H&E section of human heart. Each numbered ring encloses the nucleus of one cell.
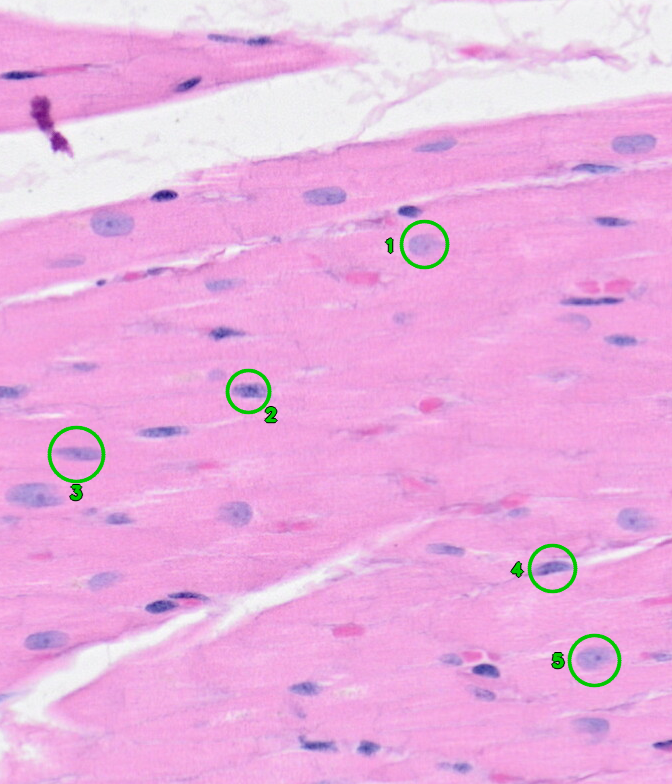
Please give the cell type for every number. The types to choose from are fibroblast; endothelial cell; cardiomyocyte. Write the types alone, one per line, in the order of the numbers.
cardiomyocyte
endothelial cell
cardiomyocyte
endothelial cell
cardiomyocyte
